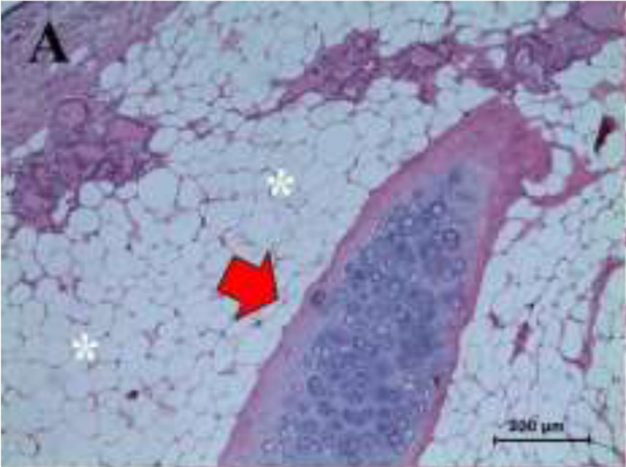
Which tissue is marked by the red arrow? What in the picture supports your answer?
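Cartilage. A band of bluish-purple homogeneous matrix with a pink rim. Rounded cells sit singly and in small groups within clear lacunae in the matrix.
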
